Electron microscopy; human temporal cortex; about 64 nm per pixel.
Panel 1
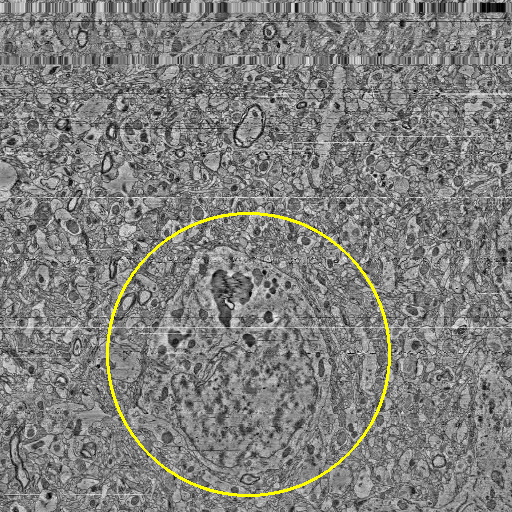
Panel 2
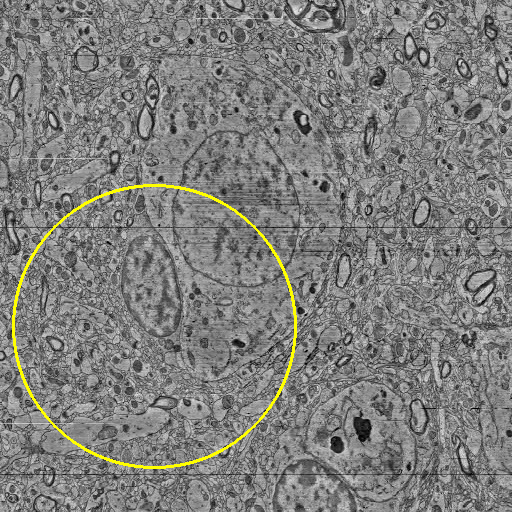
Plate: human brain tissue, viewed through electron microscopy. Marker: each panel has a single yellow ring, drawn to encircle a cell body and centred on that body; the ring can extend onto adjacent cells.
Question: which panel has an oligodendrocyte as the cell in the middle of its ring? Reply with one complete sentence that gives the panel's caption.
Panel 2 is where the requested cell sits at the centre of the ring.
